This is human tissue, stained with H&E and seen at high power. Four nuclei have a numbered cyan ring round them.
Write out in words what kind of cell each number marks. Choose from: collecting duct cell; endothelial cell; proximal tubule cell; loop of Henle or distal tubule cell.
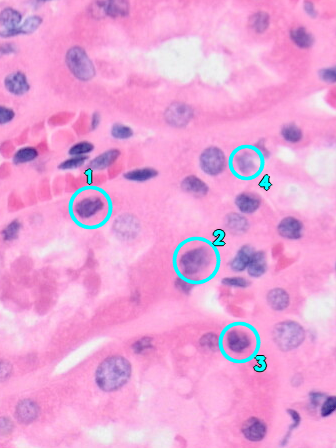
Cell 1 is a proximal tubule cell, cell 2 is a proximal tubule cell, cell 3 is a proximal tubule cell and cell 4 is a loop of Henle or distal tubule cell.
